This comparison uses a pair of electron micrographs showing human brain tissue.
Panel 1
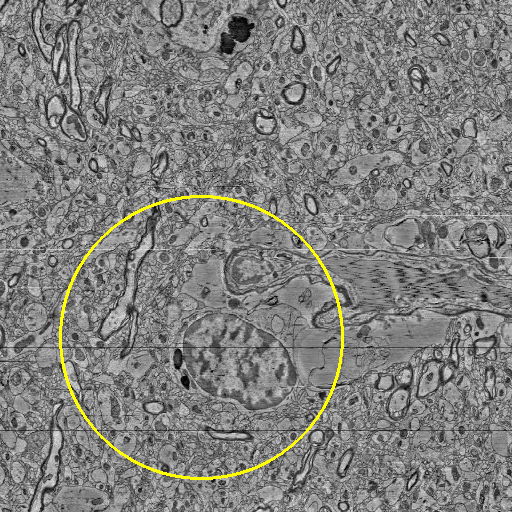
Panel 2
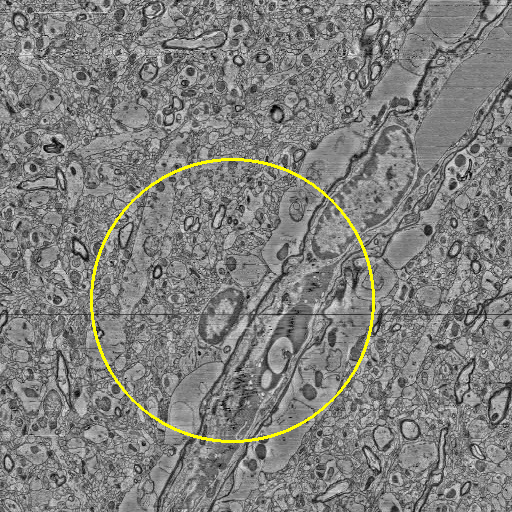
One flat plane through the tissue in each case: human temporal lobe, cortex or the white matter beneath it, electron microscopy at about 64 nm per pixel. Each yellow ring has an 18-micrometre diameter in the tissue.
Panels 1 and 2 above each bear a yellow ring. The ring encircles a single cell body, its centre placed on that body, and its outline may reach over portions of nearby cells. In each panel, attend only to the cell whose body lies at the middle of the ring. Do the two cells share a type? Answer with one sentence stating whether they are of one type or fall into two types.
In Panel 1 and Panel 2, the cells at the centres of the rings are of one type.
